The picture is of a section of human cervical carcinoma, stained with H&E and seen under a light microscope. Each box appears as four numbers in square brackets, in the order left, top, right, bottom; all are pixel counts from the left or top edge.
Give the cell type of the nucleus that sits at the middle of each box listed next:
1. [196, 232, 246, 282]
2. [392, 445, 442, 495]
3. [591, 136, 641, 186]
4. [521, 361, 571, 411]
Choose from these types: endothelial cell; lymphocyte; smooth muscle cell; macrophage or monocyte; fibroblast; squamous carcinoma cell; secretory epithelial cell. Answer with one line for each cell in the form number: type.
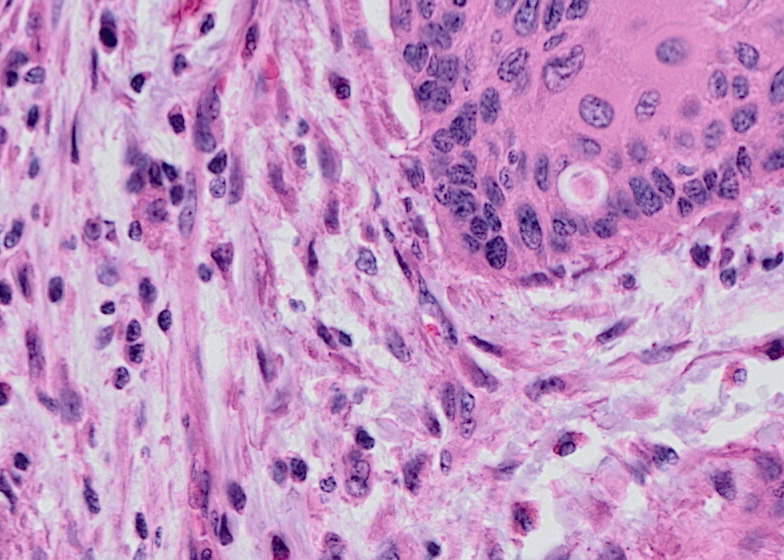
1: macrophage or monocyte
2: macrophage or monocyte
3: squamous carcinoma cell
4: fibroblast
